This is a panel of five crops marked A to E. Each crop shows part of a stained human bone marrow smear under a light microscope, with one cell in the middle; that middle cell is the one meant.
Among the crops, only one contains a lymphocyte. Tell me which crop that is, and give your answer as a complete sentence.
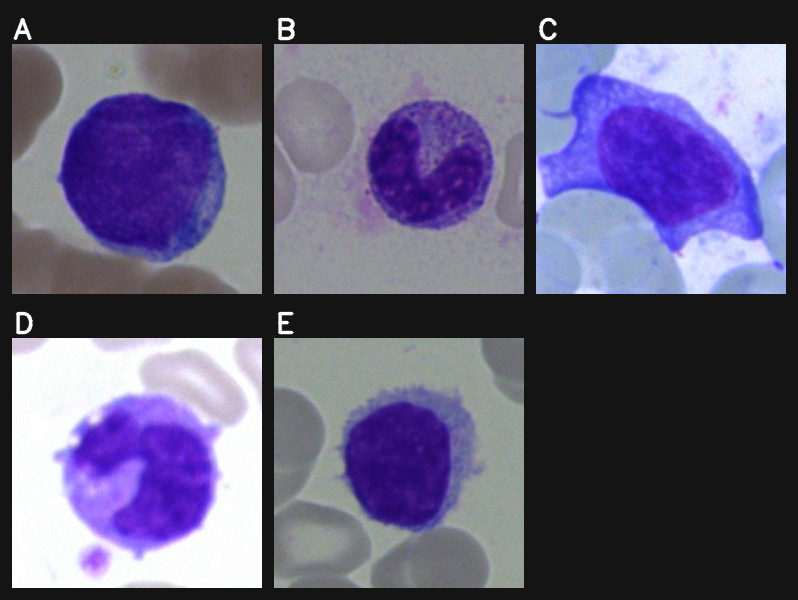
The crop marked E is the one in which a lymphocyte is shown.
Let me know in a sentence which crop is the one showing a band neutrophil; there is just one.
Among the crops given, only crop B shows a band neutrophil.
